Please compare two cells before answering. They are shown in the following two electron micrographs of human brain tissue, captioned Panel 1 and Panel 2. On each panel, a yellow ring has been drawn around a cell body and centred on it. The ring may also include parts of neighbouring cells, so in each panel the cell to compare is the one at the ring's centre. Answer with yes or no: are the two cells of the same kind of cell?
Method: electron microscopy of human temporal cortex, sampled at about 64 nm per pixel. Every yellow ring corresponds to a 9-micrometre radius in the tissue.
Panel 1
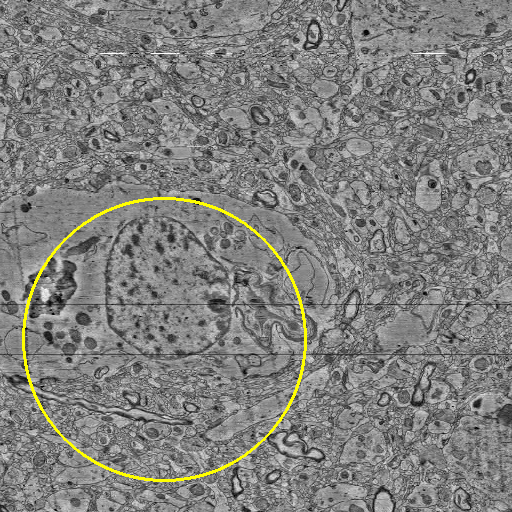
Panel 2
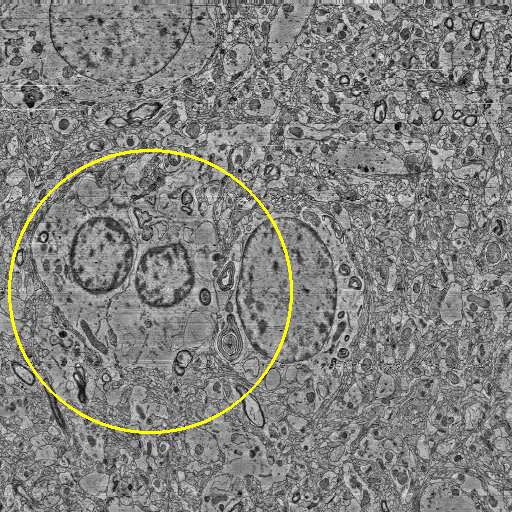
yes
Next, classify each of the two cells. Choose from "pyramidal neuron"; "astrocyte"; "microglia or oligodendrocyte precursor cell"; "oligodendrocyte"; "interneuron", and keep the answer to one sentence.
In both pictures the ring is centred on an astrocyte.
